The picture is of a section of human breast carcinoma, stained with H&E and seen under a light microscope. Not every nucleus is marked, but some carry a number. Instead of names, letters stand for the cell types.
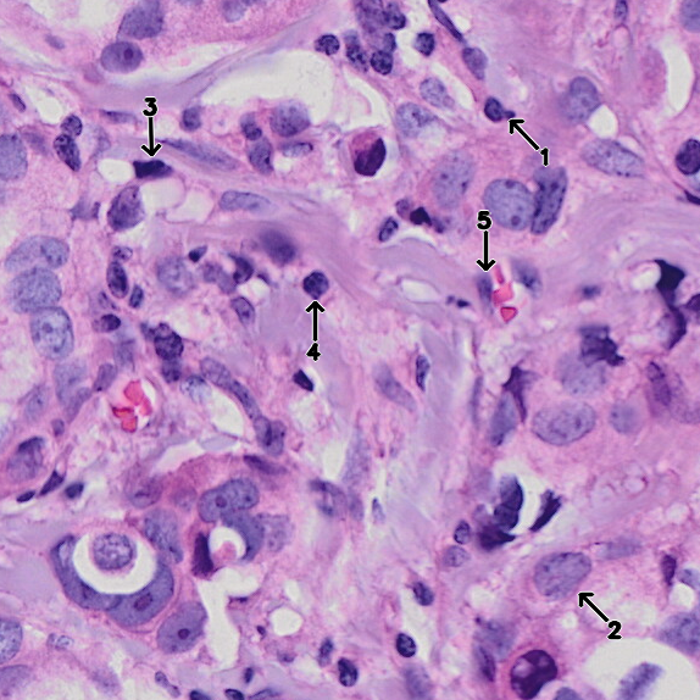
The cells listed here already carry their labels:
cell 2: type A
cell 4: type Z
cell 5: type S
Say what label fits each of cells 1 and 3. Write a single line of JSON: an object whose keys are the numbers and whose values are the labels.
{"1": "type Z", "3": "type Z"}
